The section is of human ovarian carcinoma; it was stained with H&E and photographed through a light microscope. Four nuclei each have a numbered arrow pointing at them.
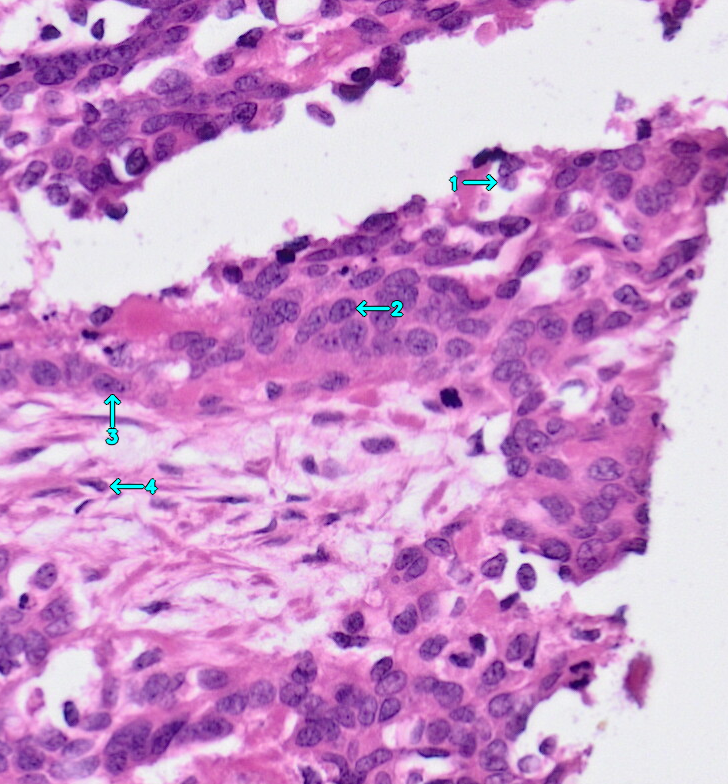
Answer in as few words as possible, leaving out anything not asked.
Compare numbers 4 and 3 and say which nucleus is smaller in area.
4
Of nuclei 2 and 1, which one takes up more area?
2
